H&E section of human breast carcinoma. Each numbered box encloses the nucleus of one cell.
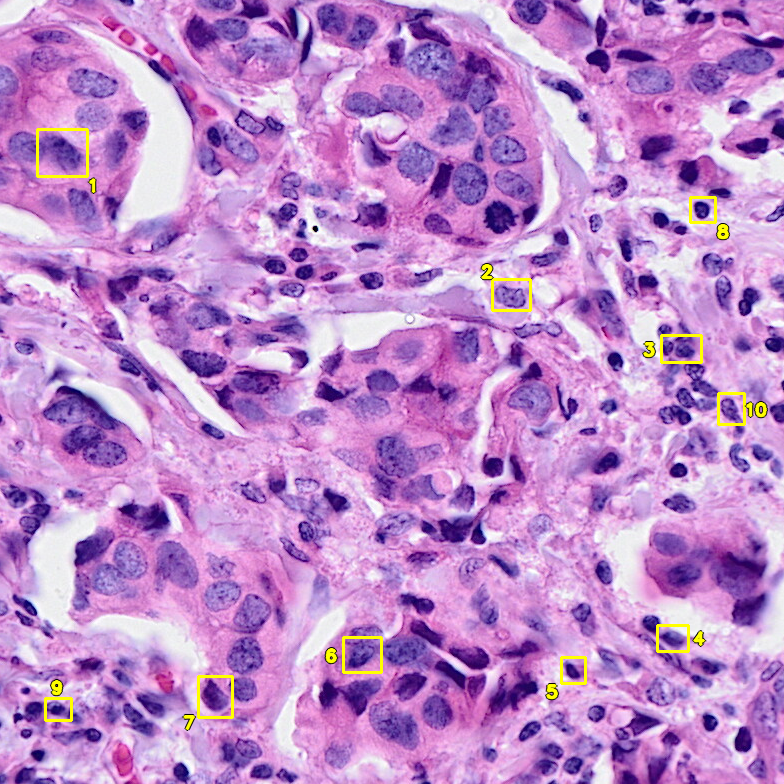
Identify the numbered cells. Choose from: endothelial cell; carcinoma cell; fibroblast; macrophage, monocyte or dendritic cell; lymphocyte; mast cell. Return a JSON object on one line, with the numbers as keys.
{"1": "carcinoma cell", "2": "macrophage, monocyte or dendritic cell", "3": "lymphocyte", "4": "lymphocyte", "5": "lymphocyte", "6": "carcinoma cell", "7": "carcinoma cell", "8": "lymphocyte", "9": "lymphocyte", "10": "lymphocyte"}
